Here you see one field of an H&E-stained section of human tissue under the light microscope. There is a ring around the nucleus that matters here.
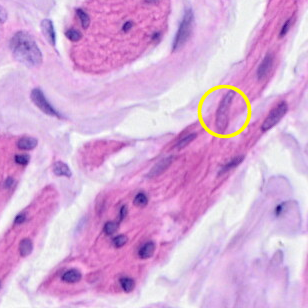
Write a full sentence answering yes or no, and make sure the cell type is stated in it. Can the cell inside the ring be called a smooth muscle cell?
Yes, a smooth muscle cell is the correct identification for the cell inside the ring.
